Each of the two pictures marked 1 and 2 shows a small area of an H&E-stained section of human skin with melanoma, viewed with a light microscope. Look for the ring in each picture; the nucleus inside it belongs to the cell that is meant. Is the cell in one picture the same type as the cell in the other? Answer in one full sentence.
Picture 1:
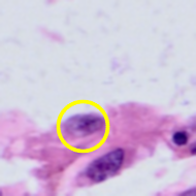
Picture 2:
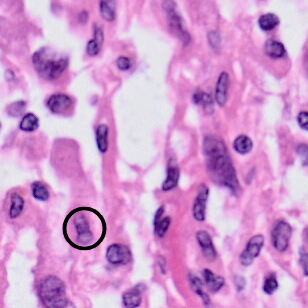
No. Picture 1 shows a melanoma cell, but picture 2 shows a “macrophage or monocyte”.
